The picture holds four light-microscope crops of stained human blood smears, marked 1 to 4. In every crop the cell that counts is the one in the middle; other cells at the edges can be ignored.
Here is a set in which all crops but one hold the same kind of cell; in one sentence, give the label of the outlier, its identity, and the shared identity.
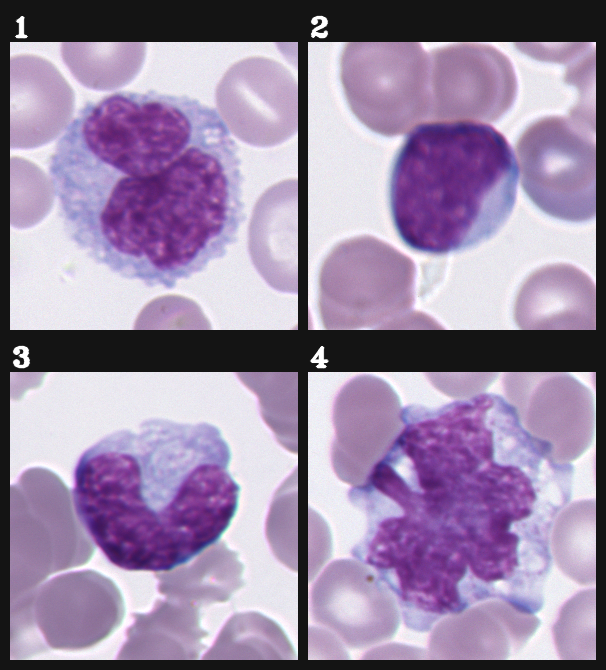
All crops show monocytes except crop 2, which is a myeloblast.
